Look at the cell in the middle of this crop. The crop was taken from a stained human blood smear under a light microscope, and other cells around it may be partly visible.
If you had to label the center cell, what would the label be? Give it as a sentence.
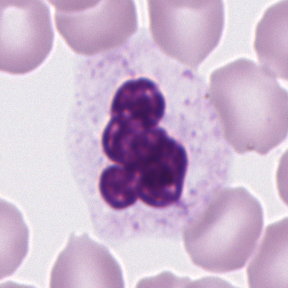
The target cell in the middle of the crop is a segmented neutrophil.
